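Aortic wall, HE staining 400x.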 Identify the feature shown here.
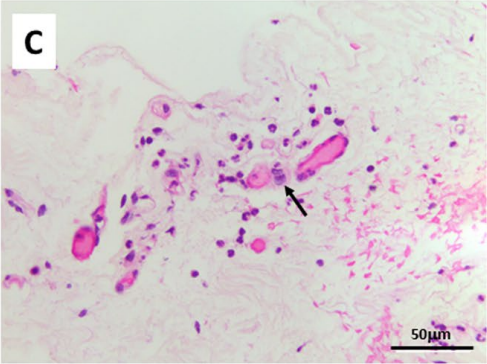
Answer: Vasa vasorum.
